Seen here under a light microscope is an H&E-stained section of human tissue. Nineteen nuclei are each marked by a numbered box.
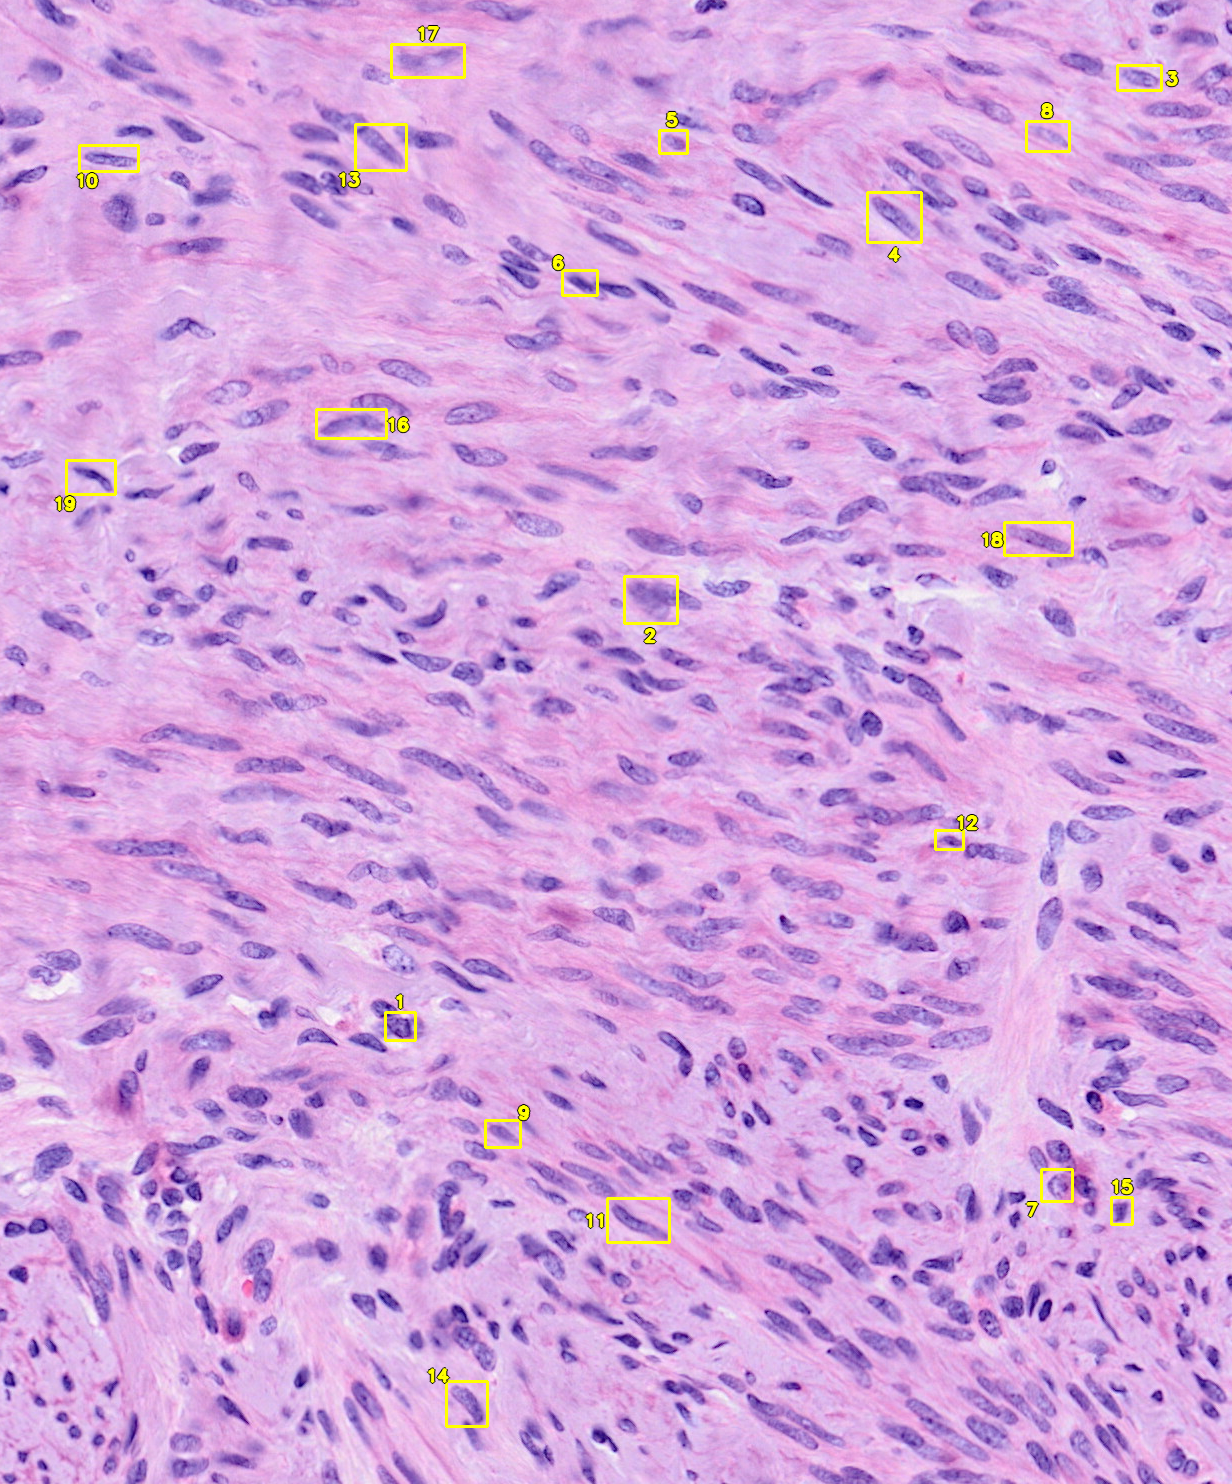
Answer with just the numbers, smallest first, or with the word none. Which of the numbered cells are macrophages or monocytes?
none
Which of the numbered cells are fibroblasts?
2, 6, 10, 13, 14, 15, 19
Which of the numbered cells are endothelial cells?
1, 7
